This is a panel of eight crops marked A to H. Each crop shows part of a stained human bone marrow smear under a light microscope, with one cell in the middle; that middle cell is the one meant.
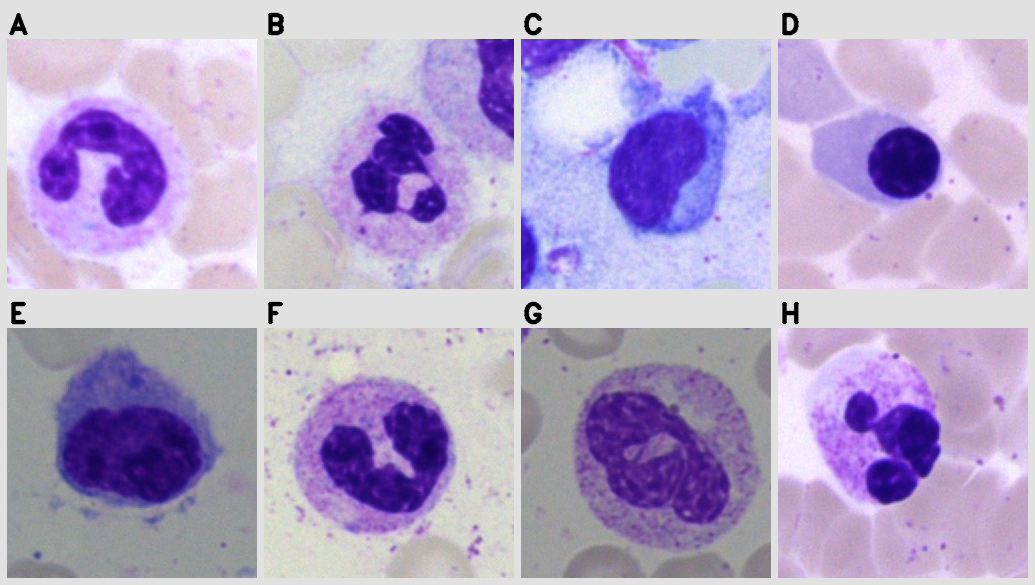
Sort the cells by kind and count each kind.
segmented neutrophil: 5
hairy cell: 2
erythroblast: 1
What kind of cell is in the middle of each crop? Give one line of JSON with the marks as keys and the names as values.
{"A": "segmented neutrophil", "B": "segmented neutrophil", "C": "hairy cell", "D": "erythroblast", "E": "hairy cell", "F": "segmented neutrophil", "G": "segmented neutrophil", "H": "segmented neutrophil"}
